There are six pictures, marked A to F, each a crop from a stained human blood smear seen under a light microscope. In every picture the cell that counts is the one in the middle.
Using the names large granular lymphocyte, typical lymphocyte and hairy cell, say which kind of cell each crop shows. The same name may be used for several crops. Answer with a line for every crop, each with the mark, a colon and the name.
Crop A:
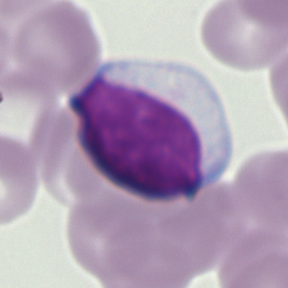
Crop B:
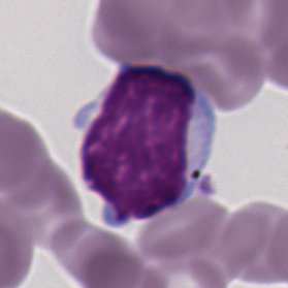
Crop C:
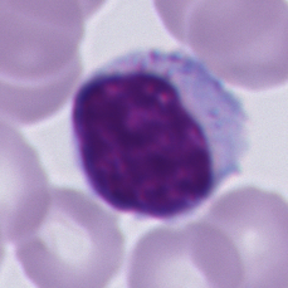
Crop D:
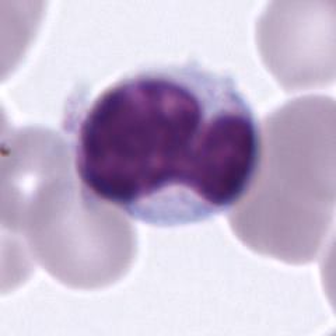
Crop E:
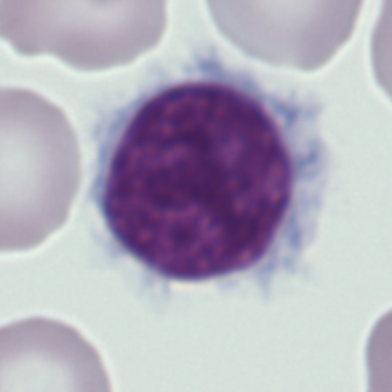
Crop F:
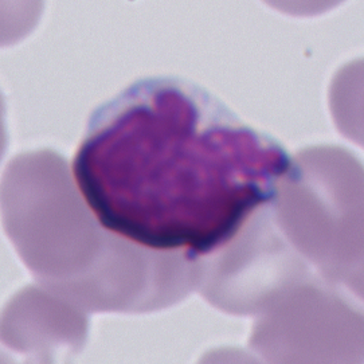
A: large granular lymphocyte
B: large granular lymphocyte
C: typical lymphocyte
D: large granular lymphocyte
E: hairy cell
F: large granular lymphocyte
